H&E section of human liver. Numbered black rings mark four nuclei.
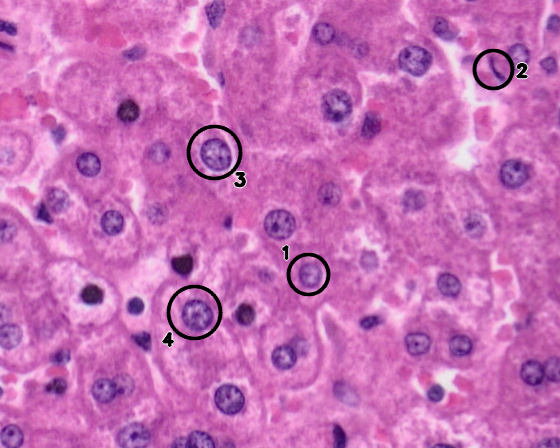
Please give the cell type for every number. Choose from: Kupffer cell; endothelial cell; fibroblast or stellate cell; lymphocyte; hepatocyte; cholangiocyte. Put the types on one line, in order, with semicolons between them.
hepatocyte; fibroblast or stellate cell; hepatocyte; hepatocyte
